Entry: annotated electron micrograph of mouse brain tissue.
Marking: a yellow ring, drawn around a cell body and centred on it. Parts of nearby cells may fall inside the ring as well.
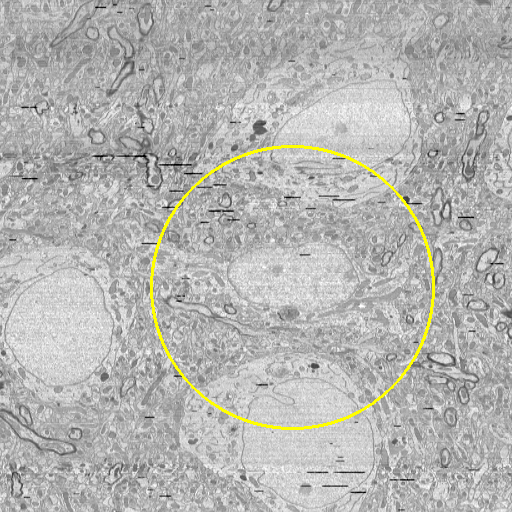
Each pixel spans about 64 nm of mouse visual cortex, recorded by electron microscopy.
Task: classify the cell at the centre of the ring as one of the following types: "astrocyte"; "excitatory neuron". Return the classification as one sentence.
The marked cell is classified as an astrocyte.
